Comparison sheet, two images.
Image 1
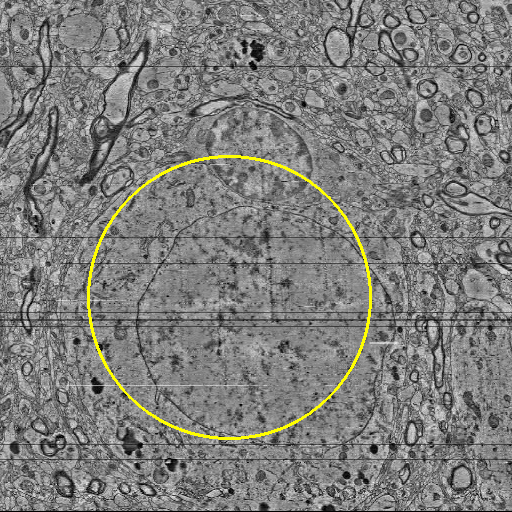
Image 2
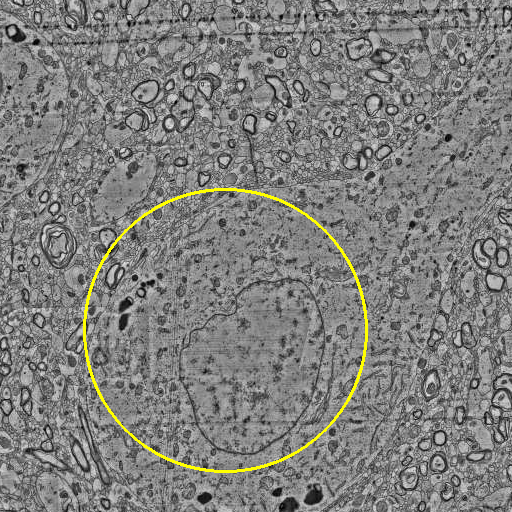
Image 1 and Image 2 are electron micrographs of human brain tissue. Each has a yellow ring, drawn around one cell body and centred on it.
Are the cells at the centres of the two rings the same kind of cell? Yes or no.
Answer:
yes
